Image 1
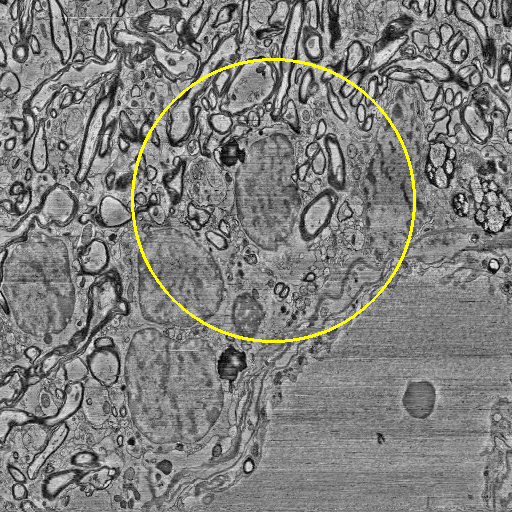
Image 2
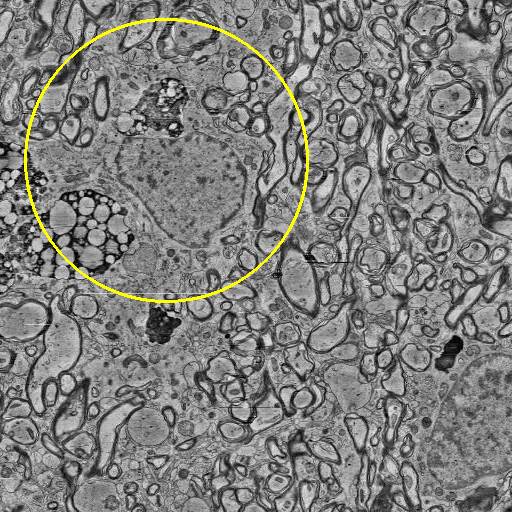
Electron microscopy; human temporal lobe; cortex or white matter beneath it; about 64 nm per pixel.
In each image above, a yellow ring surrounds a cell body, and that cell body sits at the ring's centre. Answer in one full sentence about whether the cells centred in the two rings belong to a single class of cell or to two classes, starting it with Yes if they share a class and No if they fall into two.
No, the cells centred in the two yellow rings belong to two classes of cell.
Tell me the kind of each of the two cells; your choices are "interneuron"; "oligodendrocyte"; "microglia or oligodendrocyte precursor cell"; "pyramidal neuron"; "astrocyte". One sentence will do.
The ringed cell is an oligodendrocyte in the first picture and an astrocyte in the second picture.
